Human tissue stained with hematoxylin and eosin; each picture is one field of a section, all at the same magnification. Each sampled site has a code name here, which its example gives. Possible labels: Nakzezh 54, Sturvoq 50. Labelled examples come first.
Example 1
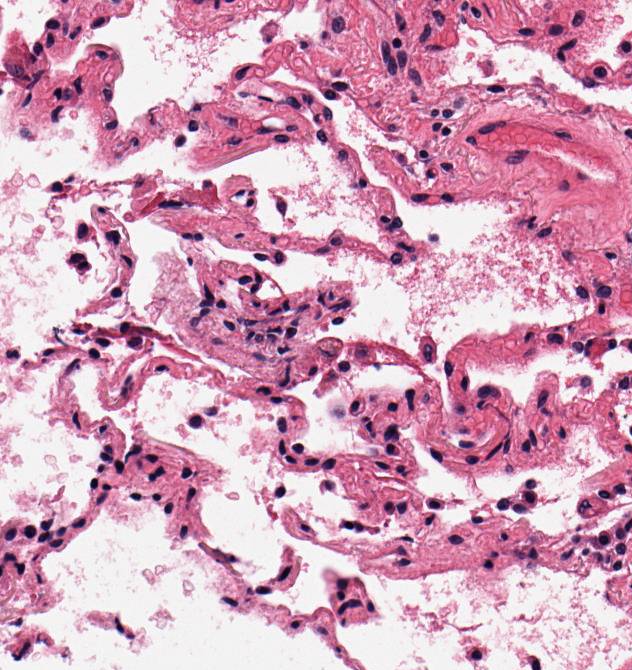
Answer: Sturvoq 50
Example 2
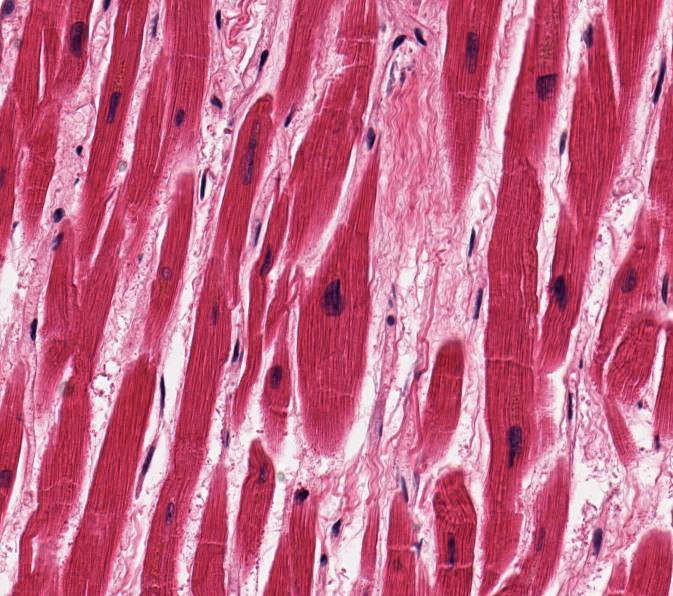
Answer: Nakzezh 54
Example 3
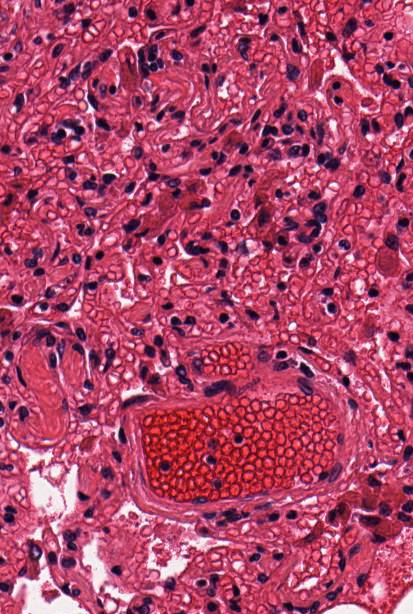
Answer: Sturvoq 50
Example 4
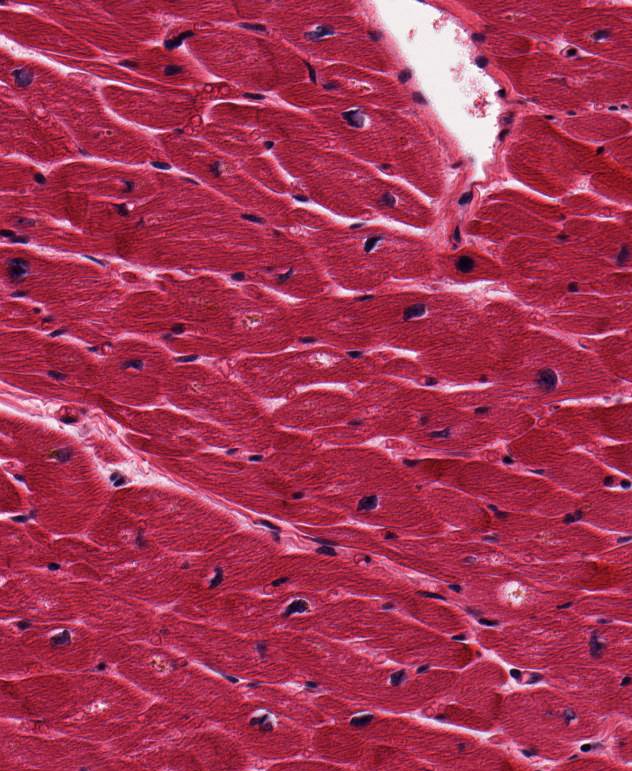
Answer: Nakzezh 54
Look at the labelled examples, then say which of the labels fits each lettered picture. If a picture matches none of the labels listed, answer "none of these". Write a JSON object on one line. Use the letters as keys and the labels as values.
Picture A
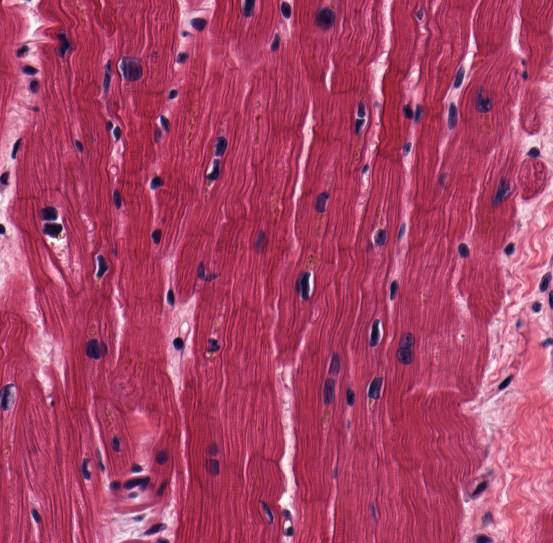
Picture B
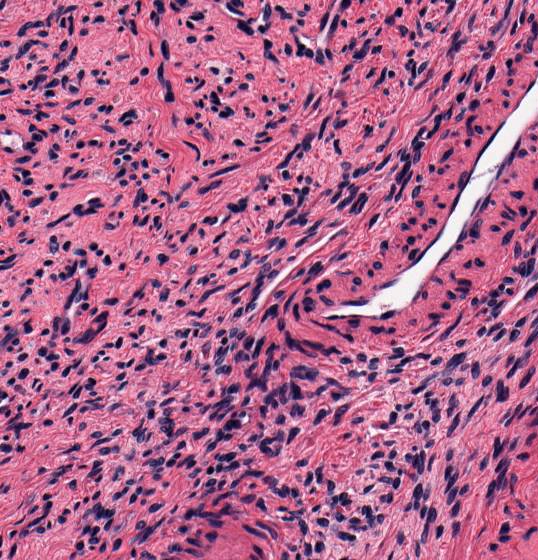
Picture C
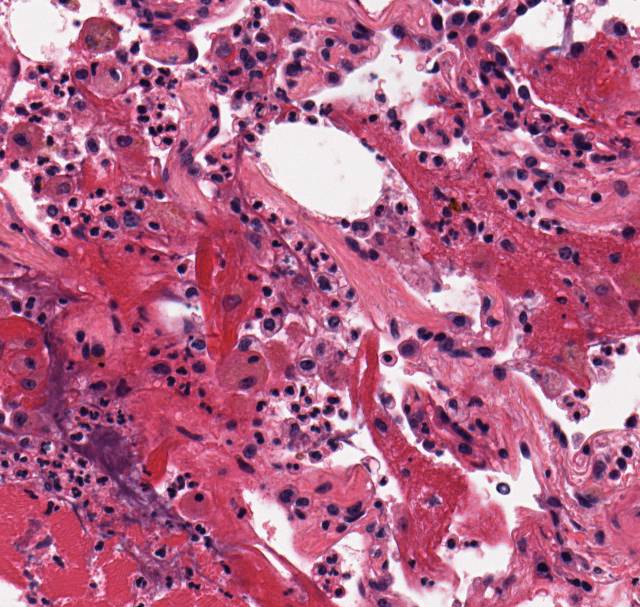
{"A": "Nakzezh 54", "B": "none of these", "C": "Sturvoq 50"}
